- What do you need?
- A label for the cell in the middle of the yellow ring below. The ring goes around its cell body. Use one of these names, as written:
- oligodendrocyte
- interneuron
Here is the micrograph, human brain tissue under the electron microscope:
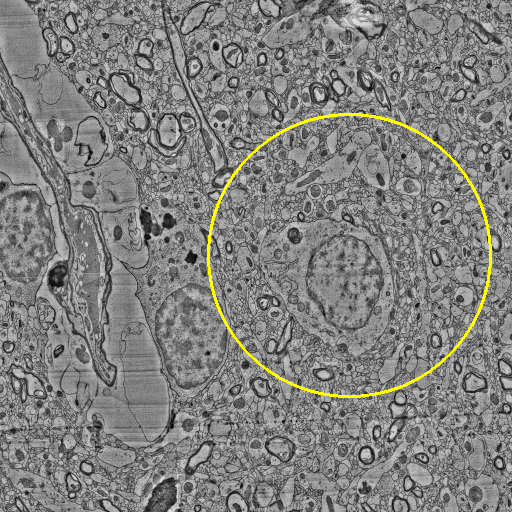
interneuron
